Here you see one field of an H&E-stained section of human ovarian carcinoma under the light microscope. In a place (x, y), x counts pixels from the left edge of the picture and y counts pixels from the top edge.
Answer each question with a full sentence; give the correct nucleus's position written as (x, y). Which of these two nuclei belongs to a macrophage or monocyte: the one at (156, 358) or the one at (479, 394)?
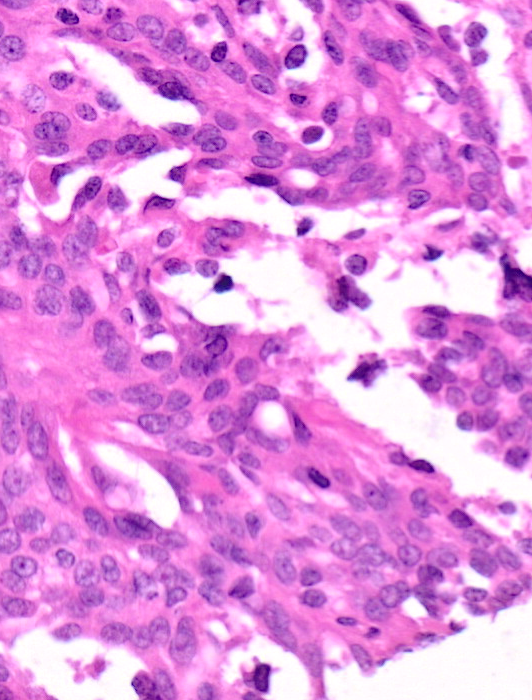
Lying within a macrophage or monocyte is the nucleus at (156, 358).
